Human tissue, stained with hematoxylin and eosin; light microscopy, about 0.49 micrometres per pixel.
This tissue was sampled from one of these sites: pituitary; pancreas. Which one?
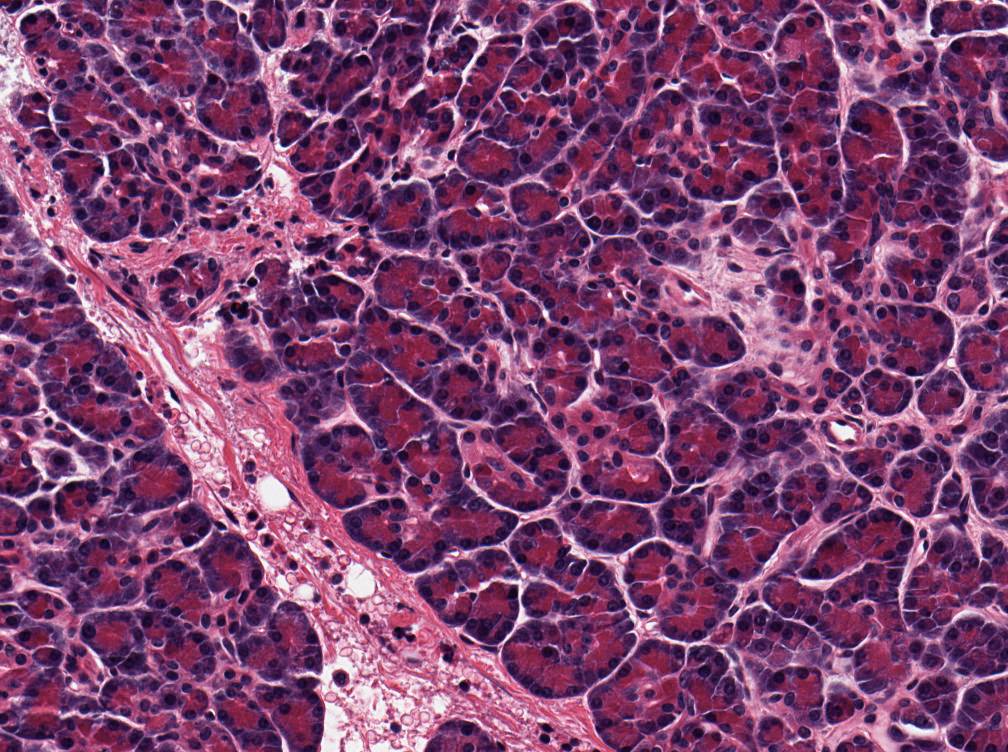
pancreas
